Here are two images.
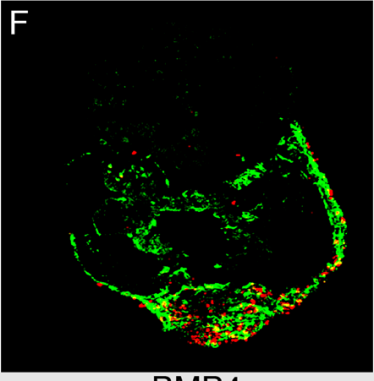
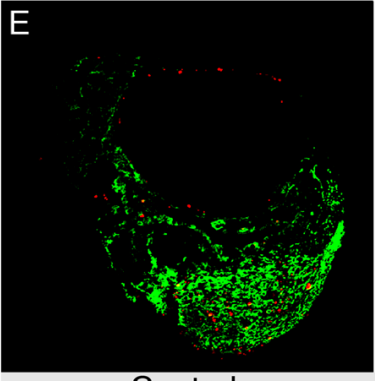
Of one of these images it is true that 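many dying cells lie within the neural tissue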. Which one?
The first image.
